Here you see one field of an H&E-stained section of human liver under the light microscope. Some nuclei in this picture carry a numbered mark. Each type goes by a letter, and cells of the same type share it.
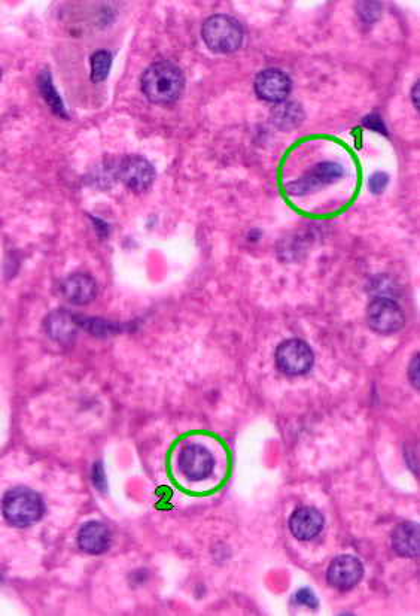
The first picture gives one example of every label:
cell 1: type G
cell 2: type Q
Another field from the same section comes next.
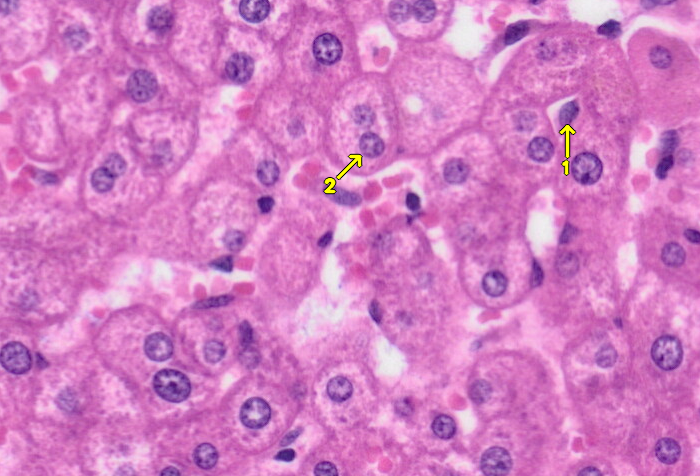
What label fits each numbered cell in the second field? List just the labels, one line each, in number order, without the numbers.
type G
type Q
